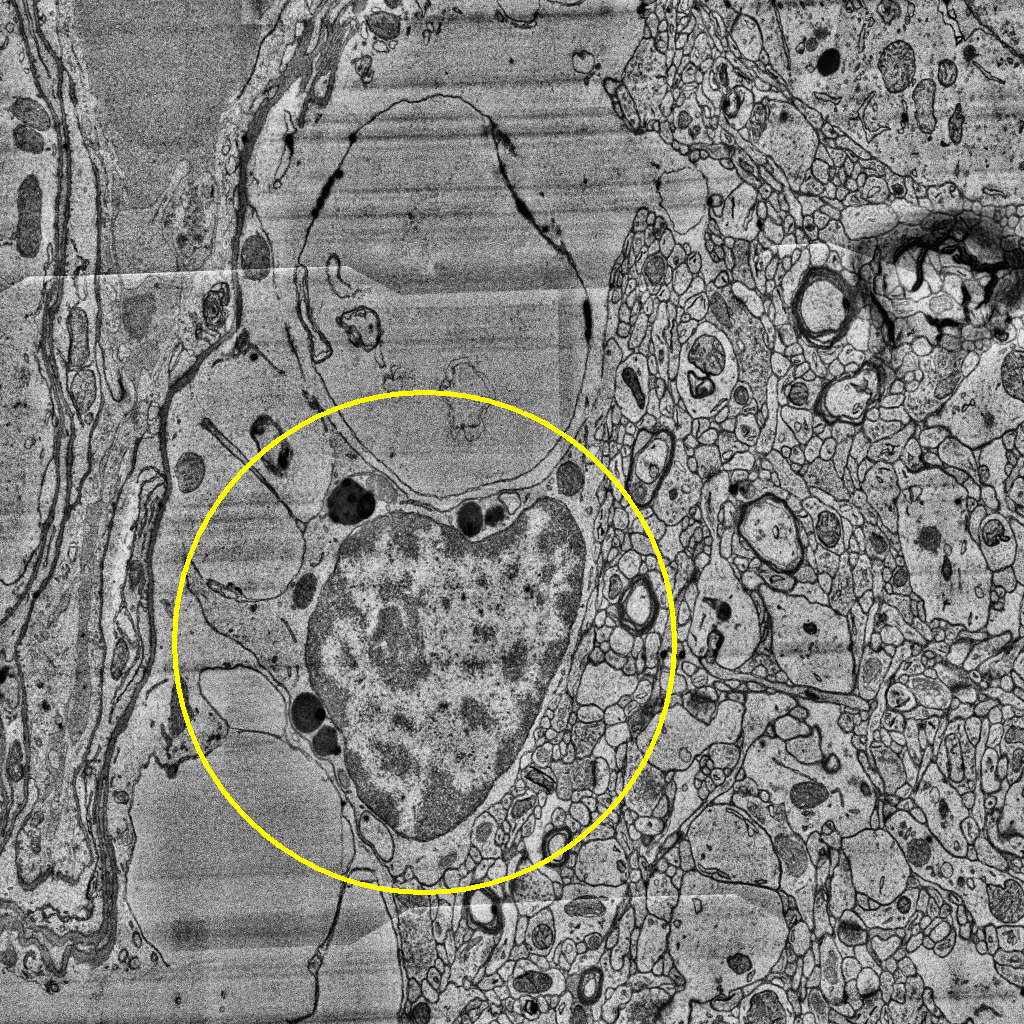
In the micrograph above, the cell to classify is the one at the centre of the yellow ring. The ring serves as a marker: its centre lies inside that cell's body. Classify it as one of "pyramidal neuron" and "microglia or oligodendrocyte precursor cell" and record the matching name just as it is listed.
microglia or oligodendrocyte precursor cell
